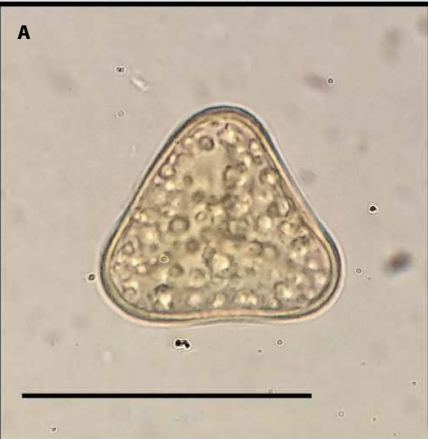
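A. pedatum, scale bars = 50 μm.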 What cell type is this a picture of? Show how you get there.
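A single rounded-triangular body with a thick smooth wall. The interior is filled with granules and droplets. So: spores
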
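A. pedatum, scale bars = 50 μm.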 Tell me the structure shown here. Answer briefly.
Trilete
